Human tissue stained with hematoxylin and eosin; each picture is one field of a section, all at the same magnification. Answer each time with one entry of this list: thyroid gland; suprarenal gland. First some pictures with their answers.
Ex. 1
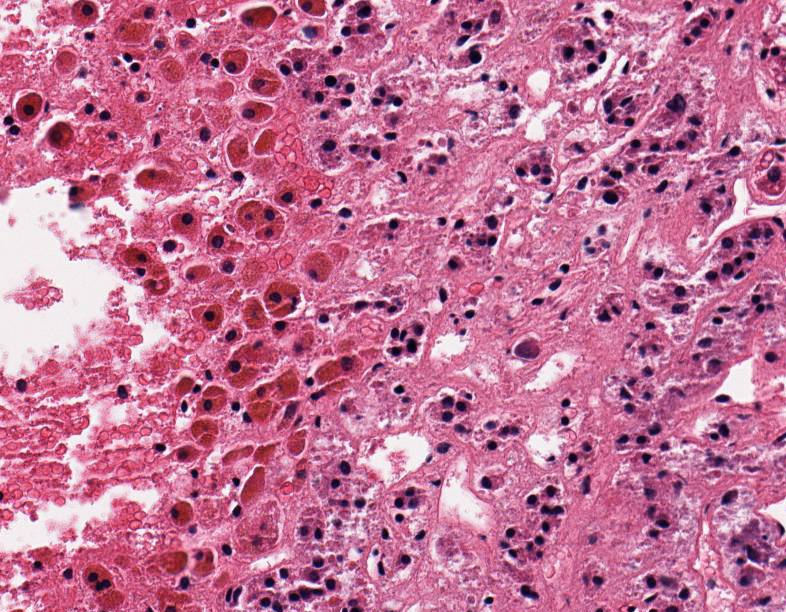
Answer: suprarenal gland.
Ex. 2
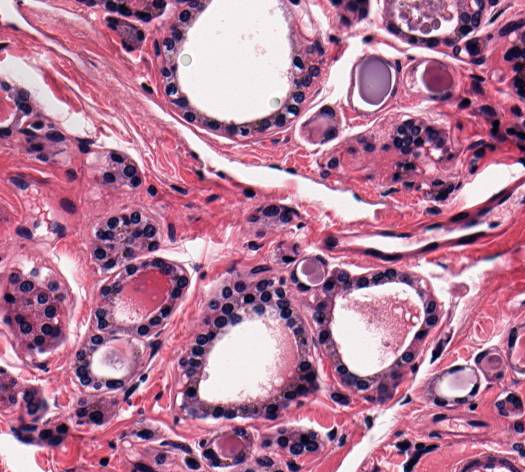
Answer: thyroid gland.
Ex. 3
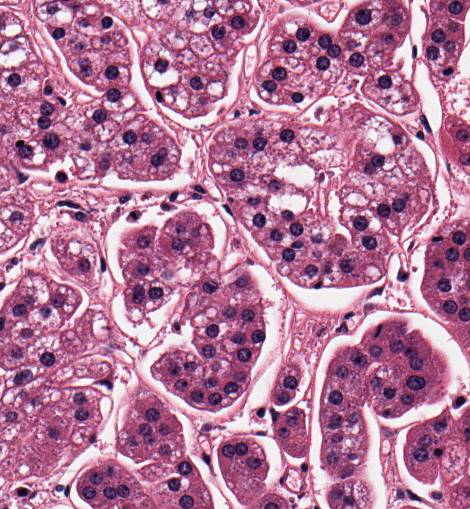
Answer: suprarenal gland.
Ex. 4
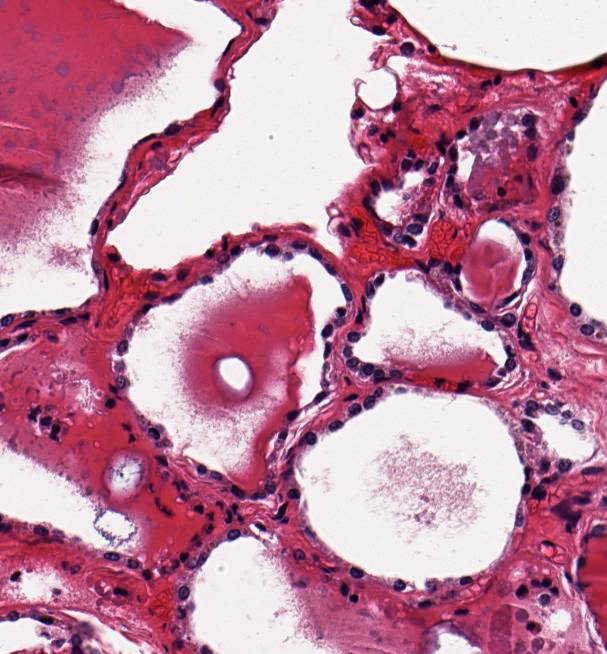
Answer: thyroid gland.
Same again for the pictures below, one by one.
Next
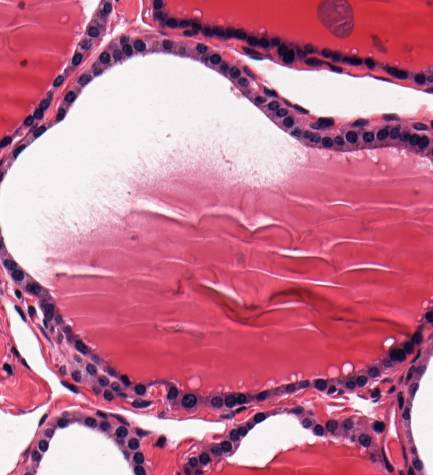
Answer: thyroid gland.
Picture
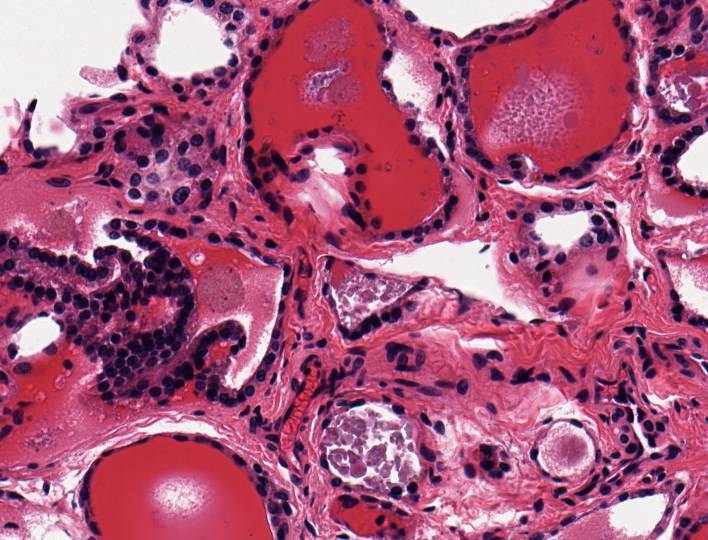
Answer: thyroid gland.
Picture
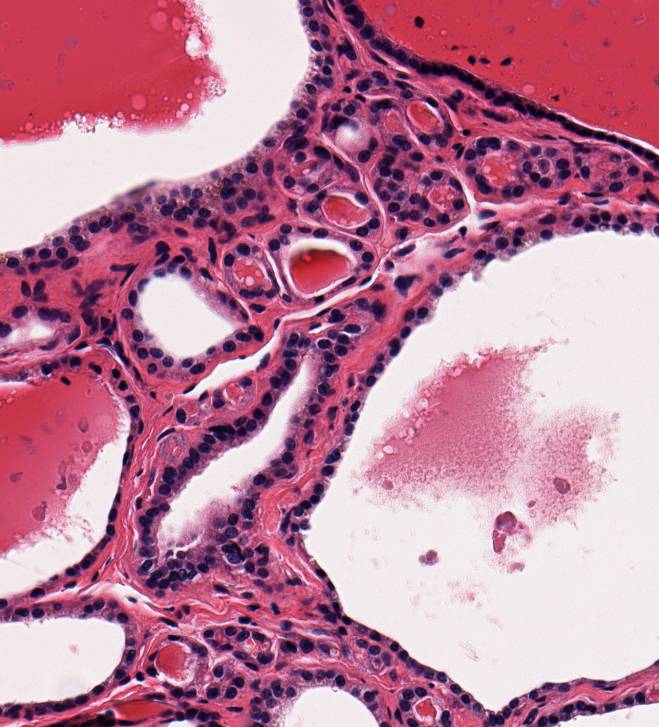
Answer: thyroid gland.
